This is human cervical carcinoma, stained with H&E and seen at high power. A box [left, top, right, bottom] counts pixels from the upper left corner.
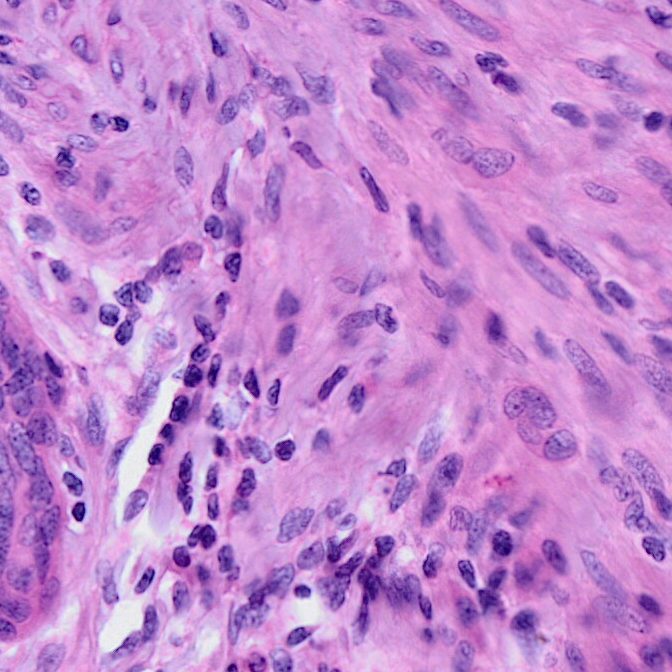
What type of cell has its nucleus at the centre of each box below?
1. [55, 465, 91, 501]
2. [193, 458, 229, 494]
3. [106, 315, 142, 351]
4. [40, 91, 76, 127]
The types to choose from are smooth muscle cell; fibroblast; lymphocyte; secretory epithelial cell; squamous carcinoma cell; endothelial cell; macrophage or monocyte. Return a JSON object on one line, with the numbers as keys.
{"1": "lymphocyte", "2": "lymphocyte", "3": "lymphocyte", "4": "smooth muscle cell"}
